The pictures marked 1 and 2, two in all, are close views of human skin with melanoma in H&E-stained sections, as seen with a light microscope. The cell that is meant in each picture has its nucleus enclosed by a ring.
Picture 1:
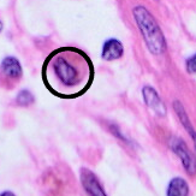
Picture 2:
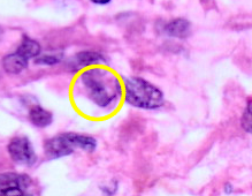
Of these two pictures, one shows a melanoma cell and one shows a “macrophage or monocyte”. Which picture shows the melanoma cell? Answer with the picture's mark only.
2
